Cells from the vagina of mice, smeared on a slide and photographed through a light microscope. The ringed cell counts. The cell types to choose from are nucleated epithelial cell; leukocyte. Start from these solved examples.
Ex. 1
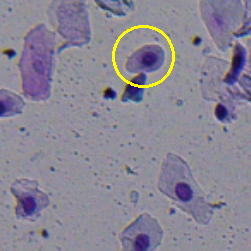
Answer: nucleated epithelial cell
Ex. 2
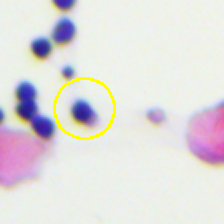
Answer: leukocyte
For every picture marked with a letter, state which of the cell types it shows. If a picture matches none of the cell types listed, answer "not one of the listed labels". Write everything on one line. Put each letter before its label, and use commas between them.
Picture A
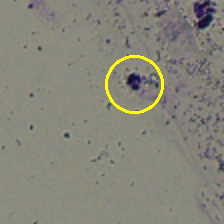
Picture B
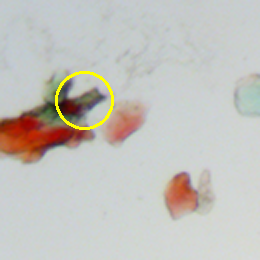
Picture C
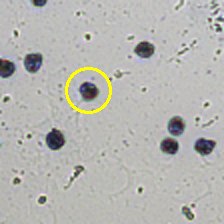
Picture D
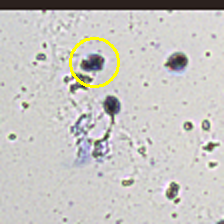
A leukocyte, B not one of the listed labels, C leukocyte, D leukocyte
